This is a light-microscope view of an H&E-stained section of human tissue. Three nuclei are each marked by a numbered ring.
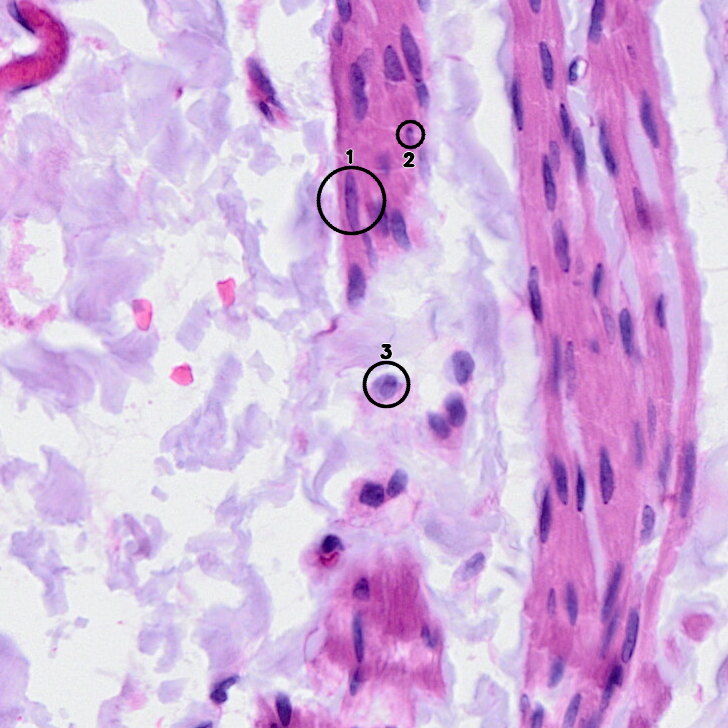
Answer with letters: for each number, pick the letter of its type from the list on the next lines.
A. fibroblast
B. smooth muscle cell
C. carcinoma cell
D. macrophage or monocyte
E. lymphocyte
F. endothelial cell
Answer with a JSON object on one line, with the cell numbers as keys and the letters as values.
{"1": "B", "2": "B", "3": "A"}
